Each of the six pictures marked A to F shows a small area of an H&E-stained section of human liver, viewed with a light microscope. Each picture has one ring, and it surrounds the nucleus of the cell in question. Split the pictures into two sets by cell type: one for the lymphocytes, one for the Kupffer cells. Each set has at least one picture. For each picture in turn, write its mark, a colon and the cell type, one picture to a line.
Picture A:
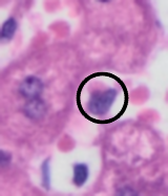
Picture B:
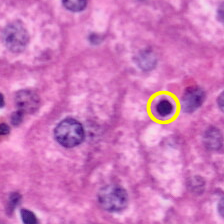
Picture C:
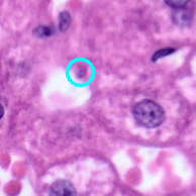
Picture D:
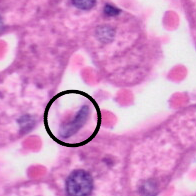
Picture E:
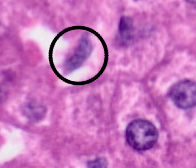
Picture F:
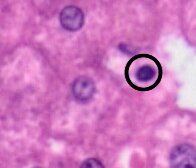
A: Kupffer cell
B: lymphocyte
C: Kupffer cell
D: Kupffer cell
E: Kupffer cell
F: lymphocyte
